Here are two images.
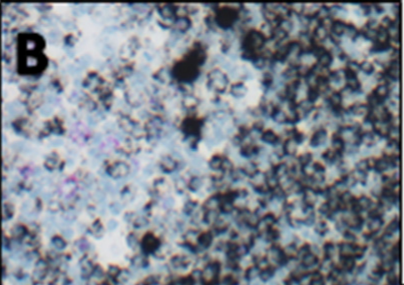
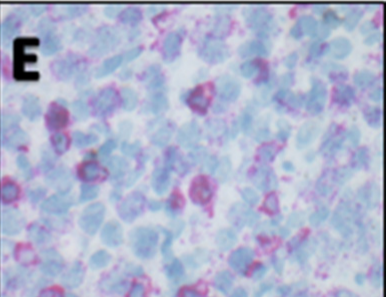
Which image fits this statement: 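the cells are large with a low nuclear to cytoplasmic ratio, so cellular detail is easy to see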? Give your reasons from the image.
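First image: small, densely packed cells, their detail obscured by heavy dark stain. Second image: large cells with round nuclei and magenta-rimmed cytoplasm clearly distinguishable. That points to this answer: the second image.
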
